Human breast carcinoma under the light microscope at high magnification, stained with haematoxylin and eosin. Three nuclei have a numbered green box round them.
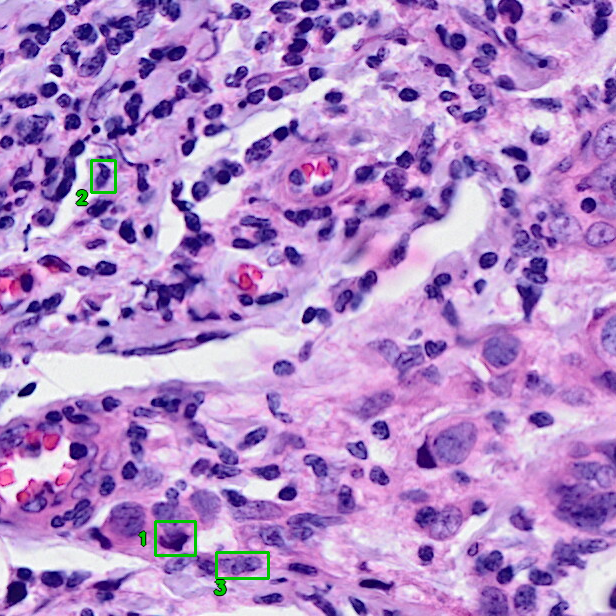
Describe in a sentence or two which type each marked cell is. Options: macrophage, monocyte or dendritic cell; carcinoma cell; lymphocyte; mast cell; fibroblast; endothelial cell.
Cell 1 is a carcinoma cell, cell 2 is a lymphocyte and cell 3 is a macrophage, monocyte or dendritic cell.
